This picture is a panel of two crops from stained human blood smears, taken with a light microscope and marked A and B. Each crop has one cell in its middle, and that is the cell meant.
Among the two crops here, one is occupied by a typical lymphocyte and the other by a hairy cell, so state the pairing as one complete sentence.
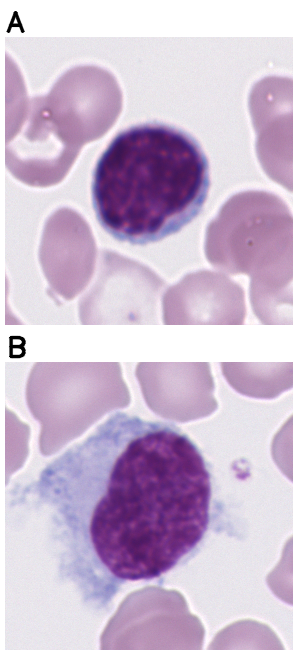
The cell centred in crop A is a typical lymphocyte, and the one centred in crop B is a hairy cell.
